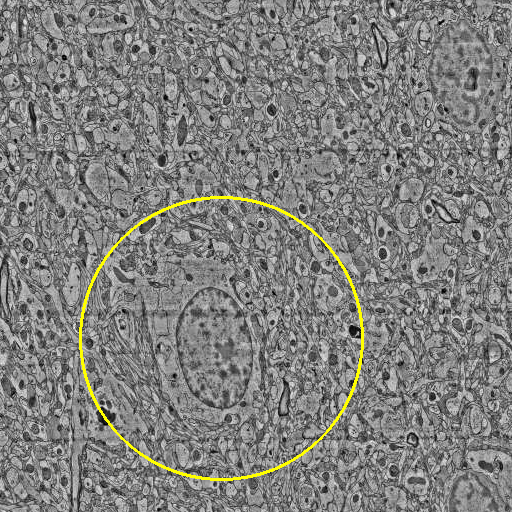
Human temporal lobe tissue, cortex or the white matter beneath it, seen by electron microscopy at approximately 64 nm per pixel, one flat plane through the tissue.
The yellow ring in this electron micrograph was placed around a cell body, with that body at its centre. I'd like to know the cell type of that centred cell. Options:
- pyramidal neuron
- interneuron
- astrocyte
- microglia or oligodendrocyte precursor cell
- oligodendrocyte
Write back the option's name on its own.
astrocyte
